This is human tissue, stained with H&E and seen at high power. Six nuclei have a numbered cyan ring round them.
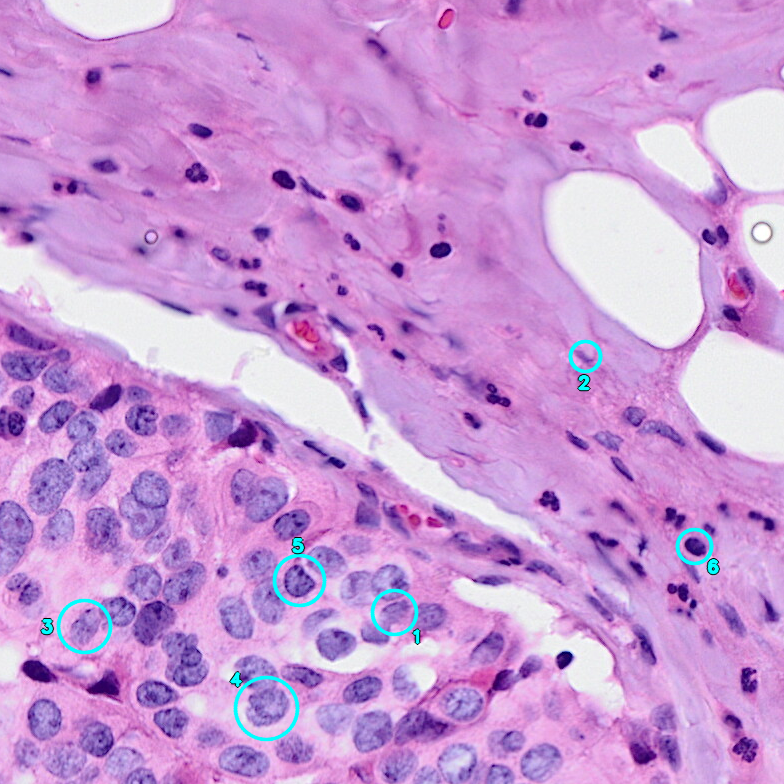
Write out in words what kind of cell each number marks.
Cell 1 is a carcinoma cell, cell 2 is a fibroblast, cell 3 is a carcinoma cell, cell 4 is a carcinoma cell, cell 5 is a carcinoma cell and cell 6 is a lymphocyte.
